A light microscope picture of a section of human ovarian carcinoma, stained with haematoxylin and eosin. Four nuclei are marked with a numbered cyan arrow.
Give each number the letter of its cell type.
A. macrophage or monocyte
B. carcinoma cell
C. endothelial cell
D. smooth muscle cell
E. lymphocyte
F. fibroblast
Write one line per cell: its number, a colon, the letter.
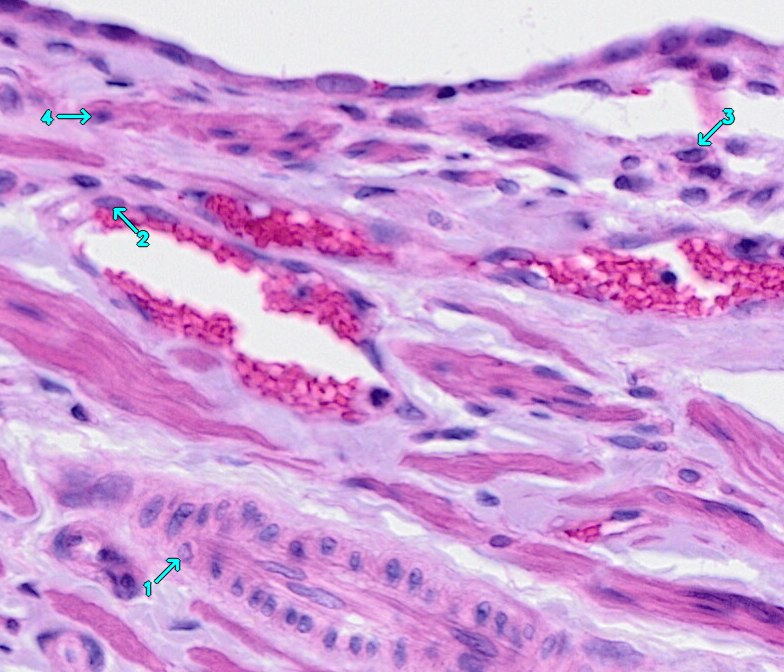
1: D
2: C
3: A
4: D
